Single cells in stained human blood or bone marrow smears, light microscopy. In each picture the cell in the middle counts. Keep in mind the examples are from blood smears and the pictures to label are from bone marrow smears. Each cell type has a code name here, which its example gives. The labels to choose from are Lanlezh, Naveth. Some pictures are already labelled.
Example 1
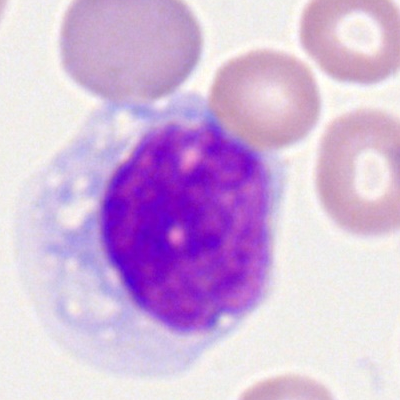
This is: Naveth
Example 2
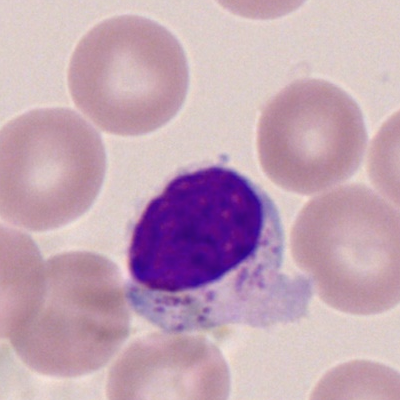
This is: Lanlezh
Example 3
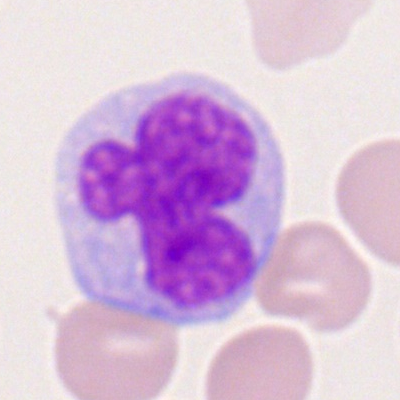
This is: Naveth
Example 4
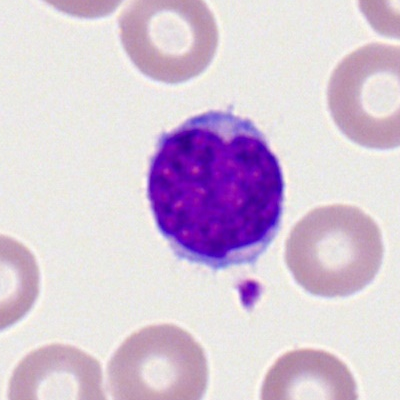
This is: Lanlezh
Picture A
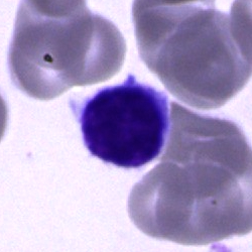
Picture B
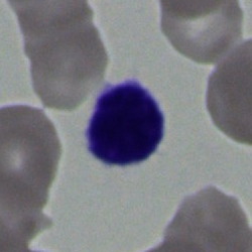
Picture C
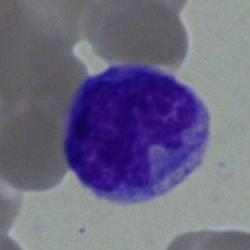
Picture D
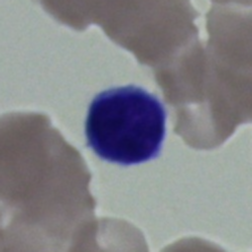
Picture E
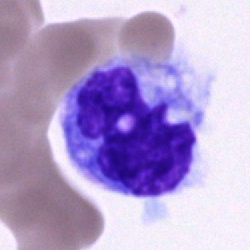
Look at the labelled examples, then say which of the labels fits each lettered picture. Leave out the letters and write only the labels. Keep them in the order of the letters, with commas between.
Lanlezh, Lanlezh, Naveth, Lanlezh, Naveth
